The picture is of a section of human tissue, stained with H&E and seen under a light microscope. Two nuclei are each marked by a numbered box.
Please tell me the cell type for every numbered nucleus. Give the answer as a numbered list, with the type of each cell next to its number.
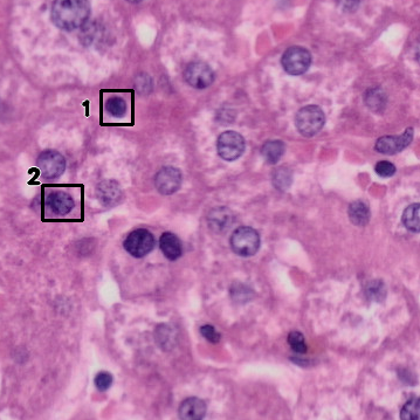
1. lymphocyte
2. fibroblast or stellate cell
